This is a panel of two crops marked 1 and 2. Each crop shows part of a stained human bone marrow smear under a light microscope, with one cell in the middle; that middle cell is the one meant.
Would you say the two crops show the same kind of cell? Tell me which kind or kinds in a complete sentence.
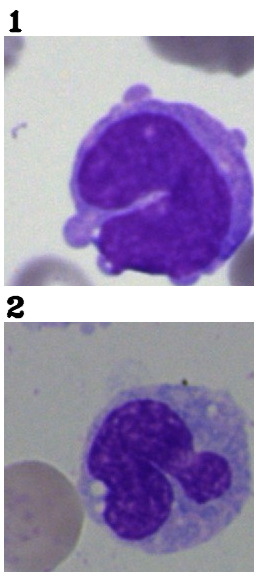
Yes, for both crops, the central cells are monocytes.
